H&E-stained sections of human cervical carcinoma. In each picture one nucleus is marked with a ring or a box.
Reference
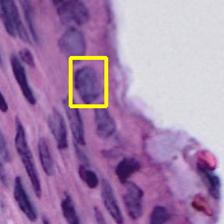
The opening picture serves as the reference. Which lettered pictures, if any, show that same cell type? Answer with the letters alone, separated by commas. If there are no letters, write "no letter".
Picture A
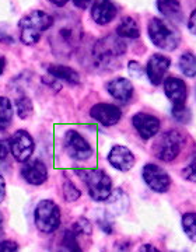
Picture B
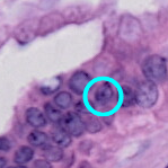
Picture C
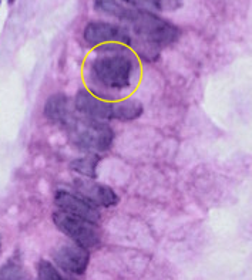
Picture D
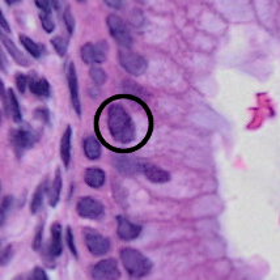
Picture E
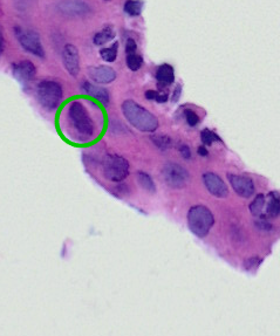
B, C, D, E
